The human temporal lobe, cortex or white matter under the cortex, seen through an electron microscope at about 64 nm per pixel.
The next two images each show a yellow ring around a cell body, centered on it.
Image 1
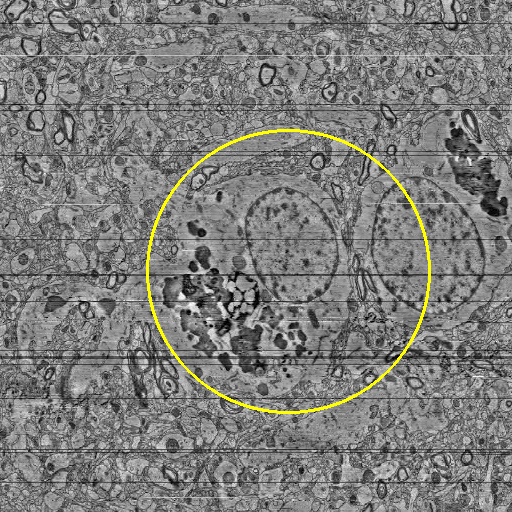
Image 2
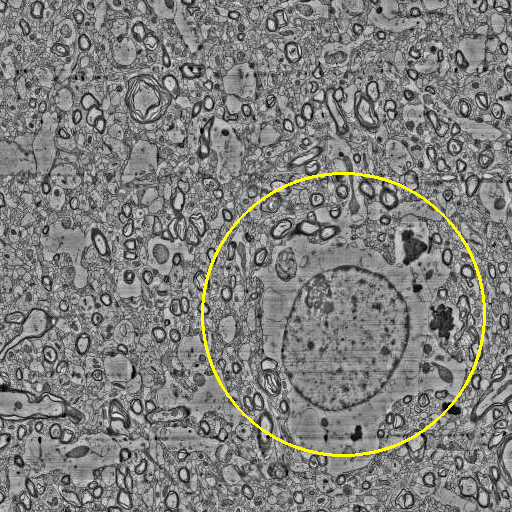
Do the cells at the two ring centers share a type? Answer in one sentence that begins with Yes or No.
Yes, across the two images the cells at the ring centers share one type.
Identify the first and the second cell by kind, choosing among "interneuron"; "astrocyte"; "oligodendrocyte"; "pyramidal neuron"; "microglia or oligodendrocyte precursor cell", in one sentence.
Both pictures show an astrocyte at the centre of the ring.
